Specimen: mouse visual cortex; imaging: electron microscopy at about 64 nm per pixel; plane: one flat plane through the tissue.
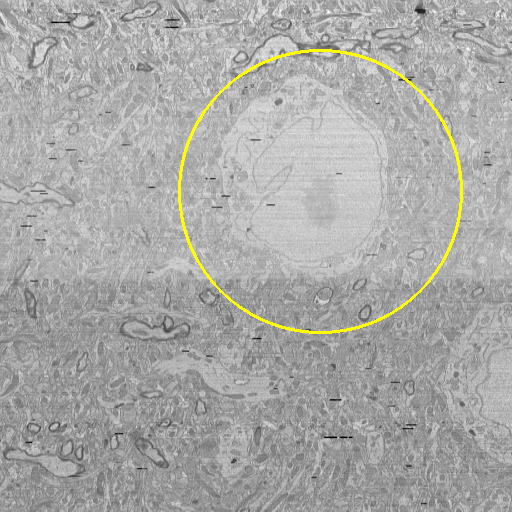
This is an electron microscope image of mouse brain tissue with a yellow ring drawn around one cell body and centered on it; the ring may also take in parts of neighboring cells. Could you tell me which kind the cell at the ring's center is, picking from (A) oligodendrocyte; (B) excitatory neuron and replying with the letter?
B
